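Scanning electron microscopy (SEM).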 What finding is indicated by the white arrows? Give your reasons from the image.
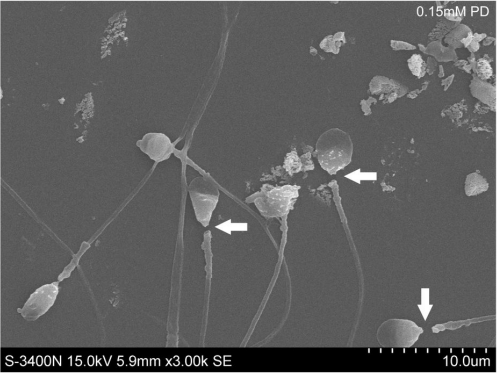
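At the arrows, heads lie separated from the ends of their tails. A gap lies between the base of the head and the cut end of the tail.
Answer: detachment of heads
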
